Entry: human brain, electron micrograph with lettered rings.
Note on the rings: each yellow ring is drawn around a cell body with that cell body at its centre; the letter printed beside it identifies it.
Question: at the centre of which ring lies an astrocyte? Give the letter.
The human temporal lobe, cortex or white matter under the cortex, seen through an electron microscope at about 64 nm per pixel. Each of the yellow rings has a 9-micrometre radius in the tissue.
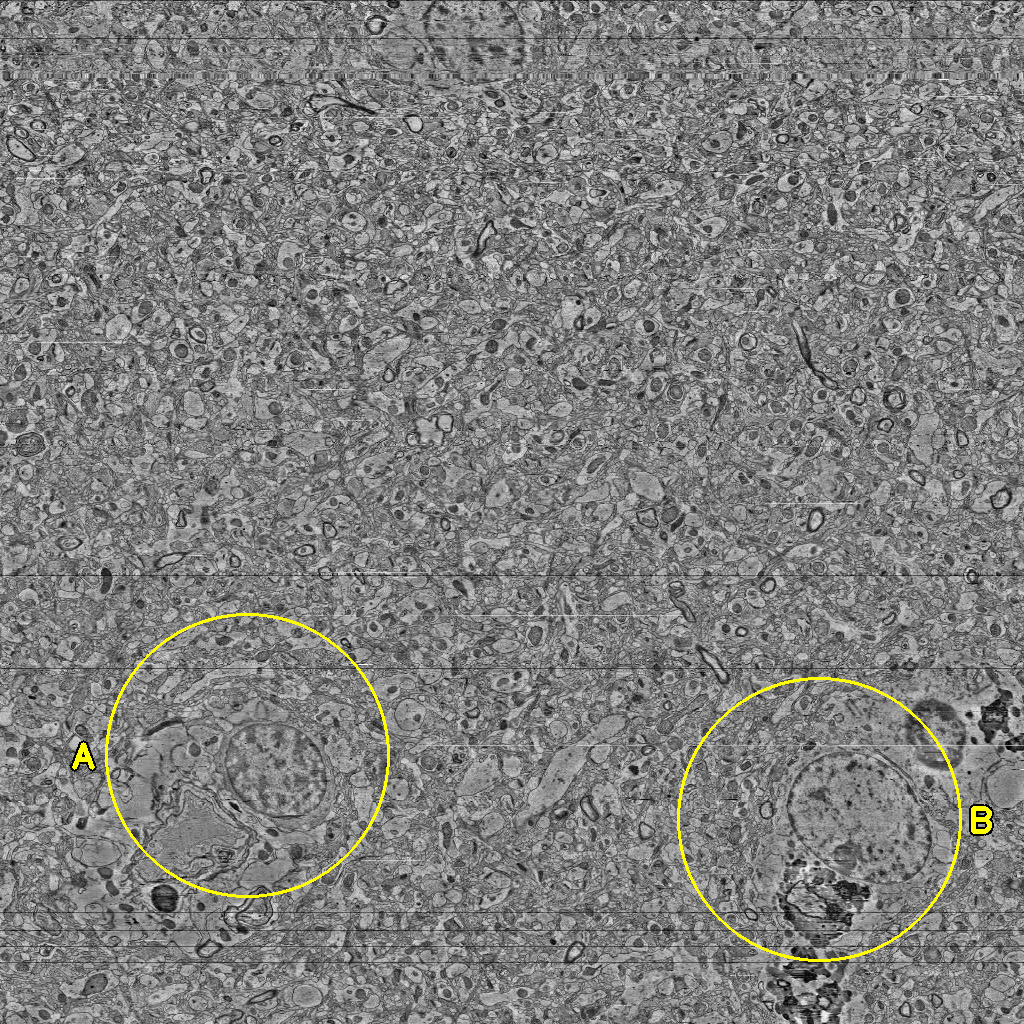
B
